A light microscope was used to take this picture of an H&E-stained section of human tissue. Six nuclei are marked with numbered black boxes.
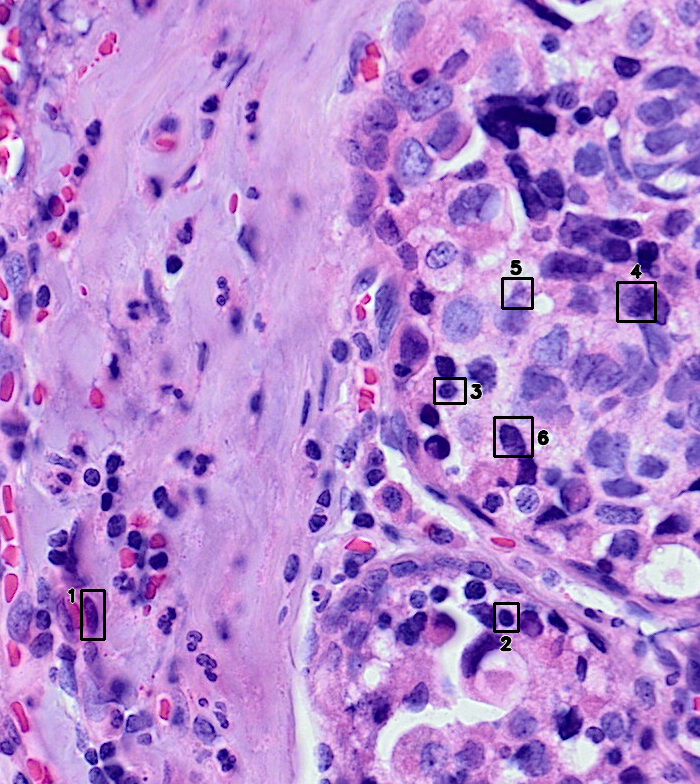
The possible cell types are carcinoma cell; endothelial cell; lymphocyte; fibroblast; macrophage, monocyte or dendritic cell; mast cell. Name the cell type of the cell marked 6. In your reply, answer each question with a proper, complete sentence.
The cell given label 6 is a carcinoma cell.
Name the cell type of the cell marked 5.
The cell carrying label 5 is identified as a carcinoma cell.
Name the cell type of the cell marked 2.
The numeral 2 marks a lymphocyte in this section.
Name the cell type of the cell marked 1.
It is as an endothelial cell that the cell numbered 1 is identified.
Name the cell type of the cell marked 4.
The numeral 4 marks a carcinoma cell in this section.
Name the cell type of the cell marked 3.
Regarding cell 3, this one is a lymphocyte.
